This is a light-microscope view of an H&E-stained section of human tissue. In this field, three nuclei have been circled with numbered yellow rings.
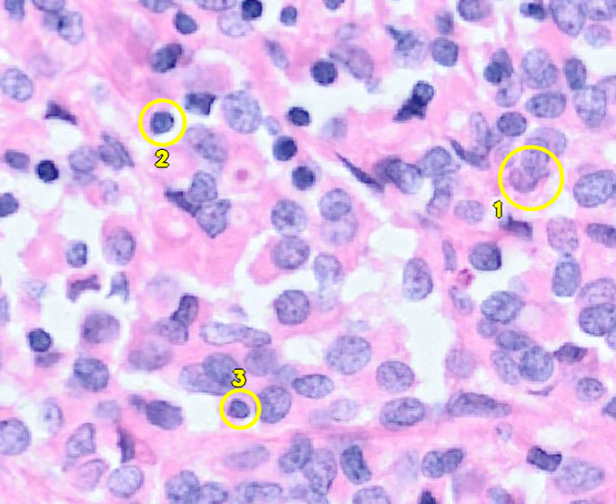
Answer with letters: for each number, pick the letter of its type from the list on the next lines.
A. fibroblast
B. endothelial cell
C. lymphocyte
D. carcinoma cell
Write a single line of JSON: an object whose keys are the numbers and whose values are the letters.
{"1": "D", "2": "C", "3": "C"}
